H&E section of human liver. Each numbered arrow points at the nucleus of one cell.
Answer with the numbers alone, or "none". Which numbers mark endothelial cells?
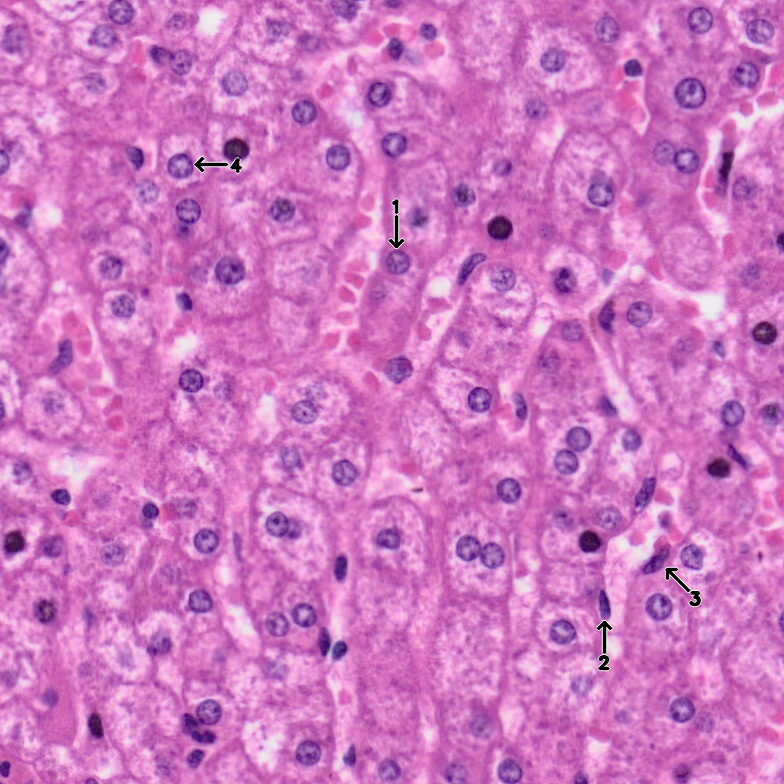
2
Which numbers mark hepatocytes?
1, 4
